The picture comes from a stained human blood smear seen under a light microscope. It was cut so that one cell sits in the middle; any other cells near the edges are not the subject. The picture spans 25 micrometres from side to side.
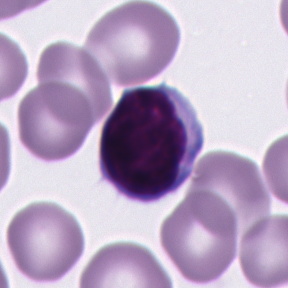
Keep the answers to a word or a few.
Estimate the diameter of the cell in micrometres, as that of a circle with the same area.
10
